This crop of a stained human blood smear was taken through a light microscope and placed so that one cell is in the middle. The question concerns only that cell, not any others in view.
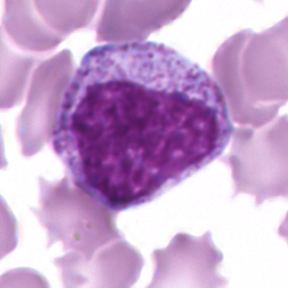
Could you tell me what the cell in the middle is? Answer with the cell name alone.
myelocyte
